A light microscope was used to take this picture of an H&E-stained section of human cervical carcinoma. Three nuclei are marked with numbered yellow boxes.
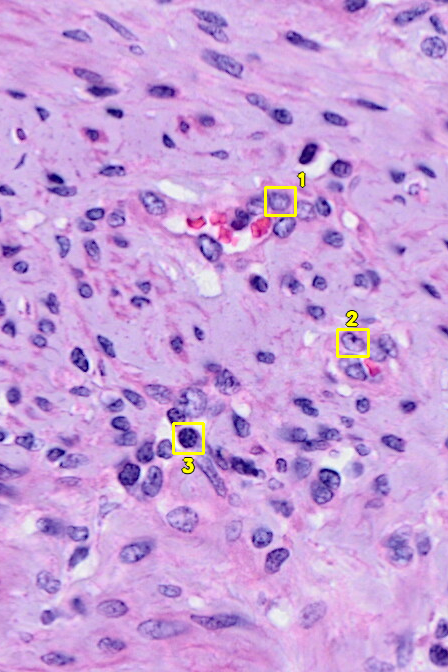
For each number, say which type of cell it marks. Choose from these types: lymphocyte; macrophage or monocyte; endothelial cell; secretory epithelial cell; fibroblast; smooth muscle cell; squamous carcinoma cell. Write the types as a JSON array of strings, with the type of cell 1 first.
["endothelial cell", "endothelial cell", "lymphocyte"]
